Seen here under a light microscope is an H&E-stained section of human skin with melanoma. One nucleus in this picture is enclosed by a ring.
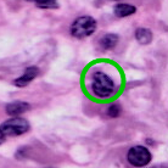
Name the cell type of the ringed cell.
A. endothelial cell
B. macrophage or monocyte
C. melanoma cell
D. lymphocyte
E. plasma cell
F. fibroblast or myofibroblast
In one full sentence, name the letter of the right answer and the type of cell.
In keeping with option E, the ringed cell is a plasma cell.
